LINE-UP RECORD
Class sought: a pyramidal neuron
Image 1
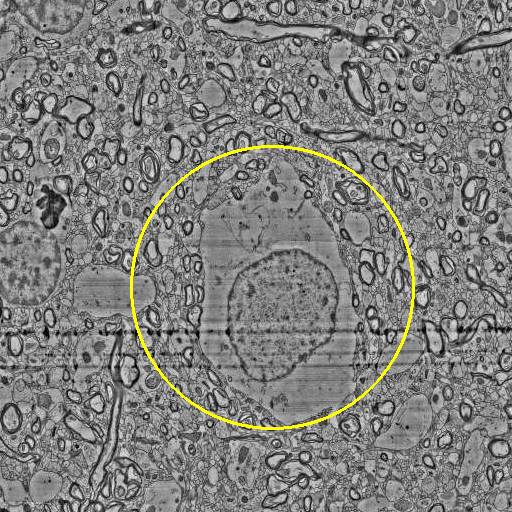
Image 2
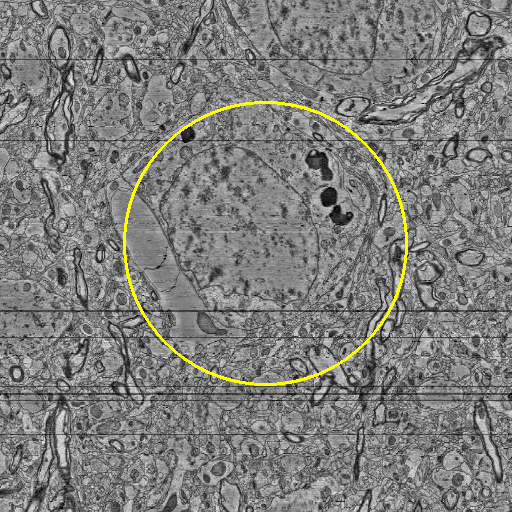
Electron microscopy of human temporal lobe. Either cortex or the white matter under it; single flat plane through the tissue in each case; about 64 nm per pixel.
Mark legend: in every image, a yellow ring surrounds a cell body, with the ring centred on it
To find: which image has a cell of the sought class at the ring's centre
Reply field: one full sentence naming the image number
The ring-centred cell of image 2 belongs to the class sought.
